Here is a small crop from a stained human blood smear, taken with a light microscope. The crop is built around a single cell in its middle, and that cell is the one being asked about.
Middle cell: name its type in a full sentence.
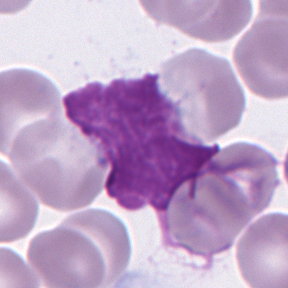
The central cell in this smear crop is a smudge cell.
